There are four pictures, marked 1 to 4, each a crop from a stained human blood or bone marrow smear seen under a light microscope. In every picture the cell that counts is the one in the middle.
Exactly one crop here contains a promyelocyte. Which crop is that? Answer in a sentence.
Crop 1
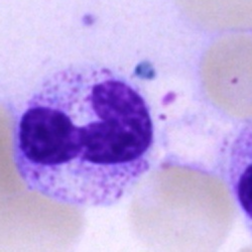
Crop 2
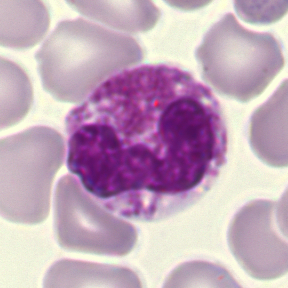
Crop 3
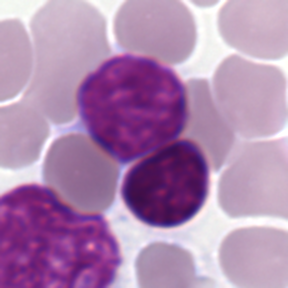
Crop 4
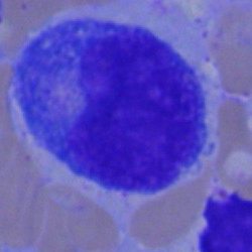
Among all the crops given here, the one with a promyelocyte is crop 4.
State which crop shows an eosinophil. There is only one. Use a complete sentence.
In this set, crop 2 is the one showing an eosinophil.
